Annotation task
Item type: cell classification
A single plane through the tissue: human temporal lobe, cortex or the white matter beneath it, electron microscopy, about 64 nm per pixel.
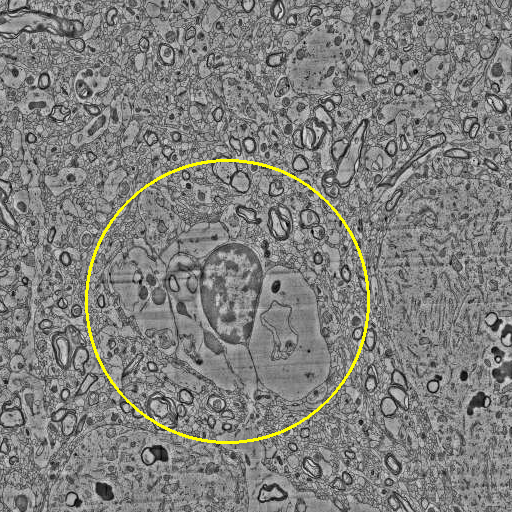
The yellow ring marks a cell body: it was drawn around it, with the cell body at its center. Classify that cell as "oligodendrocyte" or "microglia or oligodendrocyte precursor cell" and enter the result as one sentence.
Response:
The ring's center falls on a microglial cell or oligodendrocyte precursor cell.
